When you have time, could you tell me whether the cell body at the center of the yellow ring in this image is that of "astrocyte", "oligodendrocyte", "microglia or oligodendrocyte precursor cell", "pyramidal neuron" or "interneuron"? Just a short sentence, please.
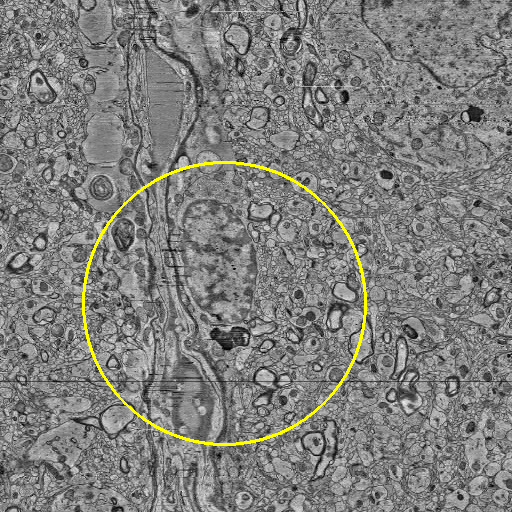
The cell body at the center of the ring is that of an oligodendrocyte.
